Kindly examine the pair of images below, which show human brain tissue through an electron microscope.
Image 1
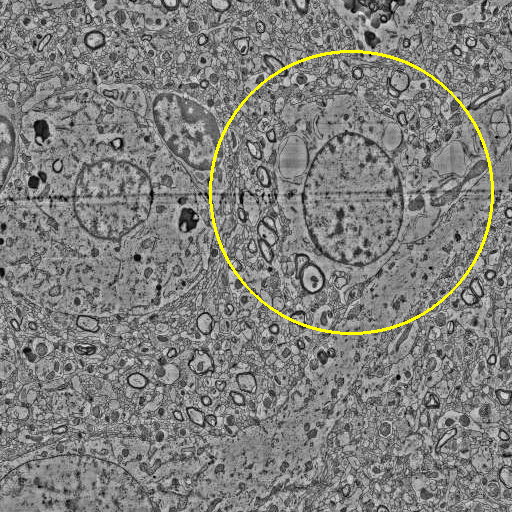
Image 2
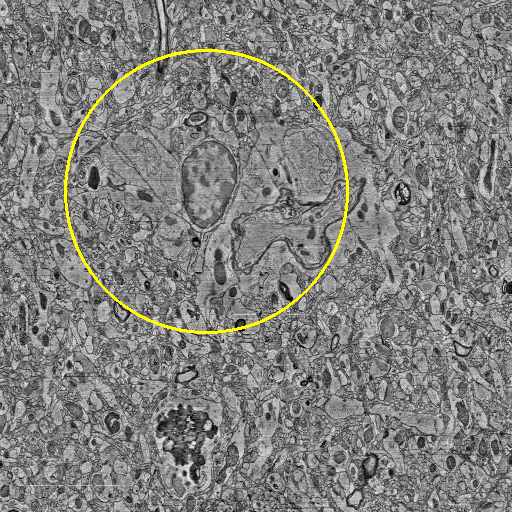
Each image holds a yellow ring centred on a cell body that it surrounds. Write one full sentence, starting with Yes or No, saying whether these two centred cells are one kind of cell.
No, the cells at the centres of the yellow rings belong to two kinds of cell.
